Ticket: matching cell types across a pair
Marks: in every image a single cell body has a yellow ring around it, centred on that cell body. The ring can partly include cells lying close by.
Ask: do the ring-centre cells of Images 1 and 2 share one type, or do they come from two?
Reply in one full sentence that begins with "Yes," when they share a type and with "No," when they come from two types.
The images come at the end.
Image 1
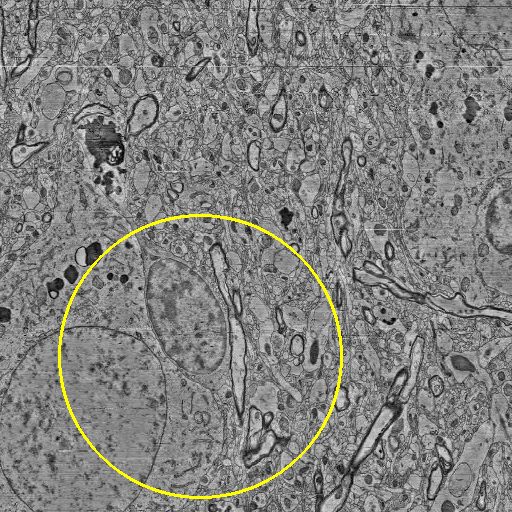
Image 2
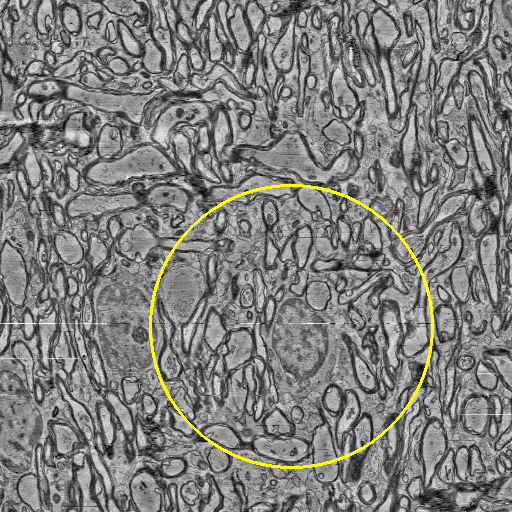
Yes, the cells in the centres of the rings in Image 1 and Image 2 share one type.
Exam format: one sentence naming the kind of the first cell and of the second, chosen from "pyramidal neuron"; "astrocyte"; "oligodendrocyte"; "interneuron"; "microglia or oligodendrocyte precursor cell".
Both pictures show an oligodendrocyte at the centre of the ring.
